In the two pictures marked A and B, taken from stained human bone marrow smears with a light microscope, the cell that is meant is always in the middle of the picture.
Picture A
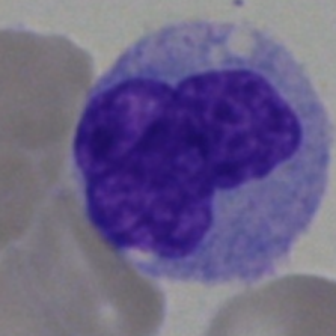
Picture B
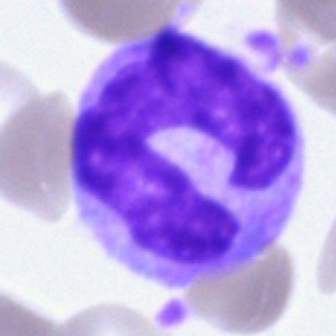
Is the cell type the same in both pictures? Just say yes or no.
yes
